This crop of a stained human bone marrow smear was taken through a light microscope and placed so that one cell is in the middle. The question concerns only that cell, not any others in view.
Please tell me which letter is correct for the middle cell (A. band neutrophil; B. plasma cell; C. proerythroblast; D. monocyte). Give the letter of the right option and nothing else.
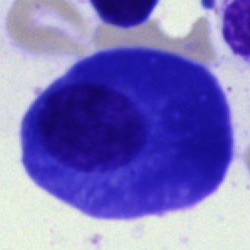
B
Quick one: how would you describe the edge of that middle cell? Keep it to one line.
Expected answer: a smooth cell outline without projections of any sort.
